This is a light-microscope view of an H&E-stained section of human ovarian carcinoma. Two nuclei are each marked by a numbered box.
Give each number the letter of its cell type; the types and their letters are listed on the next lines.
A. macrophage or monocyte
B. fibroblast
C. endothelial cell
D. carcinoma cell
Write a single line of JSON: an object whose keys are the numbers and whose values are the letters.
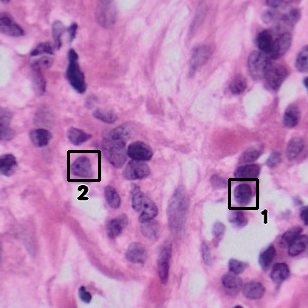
{"1": "D", "2": "A"}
